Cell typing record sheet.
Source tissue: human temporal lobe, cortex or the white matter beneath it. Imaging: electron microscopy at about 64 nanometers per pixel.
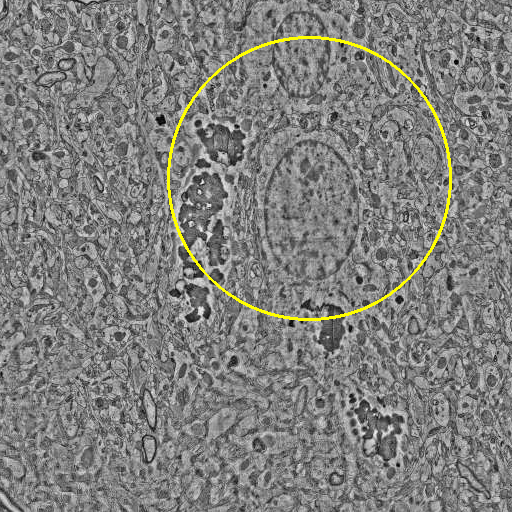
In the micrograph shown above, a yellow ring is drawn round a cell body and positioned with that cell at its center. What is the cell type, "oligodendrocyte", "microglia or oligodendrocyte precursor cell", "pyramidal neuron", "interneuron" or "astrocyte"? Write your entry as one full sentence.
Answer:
The cell body at the center of the ring belongs to an astrocyte.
